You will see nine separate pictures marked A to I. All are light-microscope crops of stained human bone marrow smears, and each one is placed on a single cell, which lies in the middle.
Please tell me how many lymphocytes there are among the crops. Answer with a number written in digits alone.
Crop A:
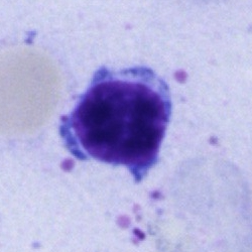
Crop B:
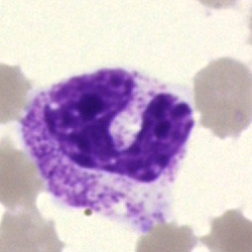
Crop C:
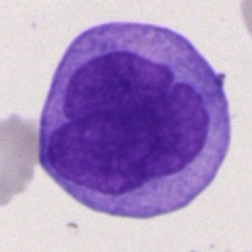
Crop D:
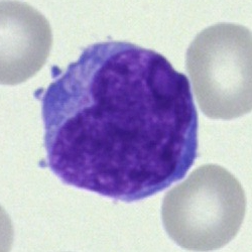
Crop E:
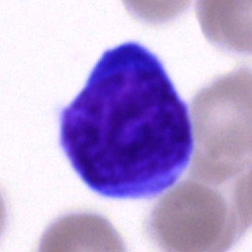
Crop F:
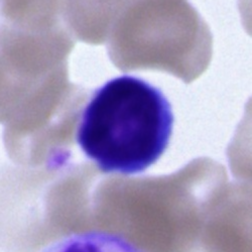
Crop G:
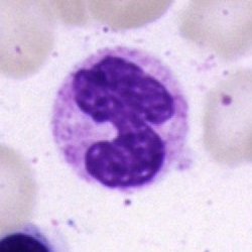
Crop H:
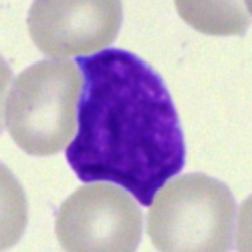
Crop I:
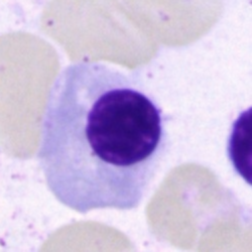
2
